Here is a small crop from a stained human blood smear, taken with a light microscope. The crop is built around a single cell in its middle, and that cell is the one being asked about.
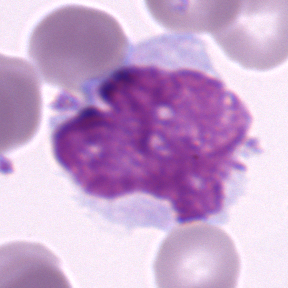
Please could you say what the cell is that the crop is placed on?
monocyte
